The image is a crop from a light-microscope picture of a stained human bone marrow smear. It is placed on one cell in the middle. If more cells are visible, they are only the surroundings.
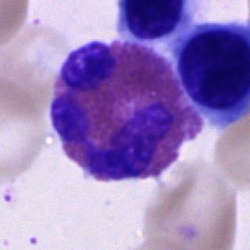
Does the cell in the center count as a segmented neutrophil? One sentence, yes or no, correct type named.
No, not a segmented neutrophil here; the centered cell is an eosinophil.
